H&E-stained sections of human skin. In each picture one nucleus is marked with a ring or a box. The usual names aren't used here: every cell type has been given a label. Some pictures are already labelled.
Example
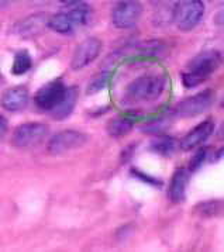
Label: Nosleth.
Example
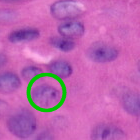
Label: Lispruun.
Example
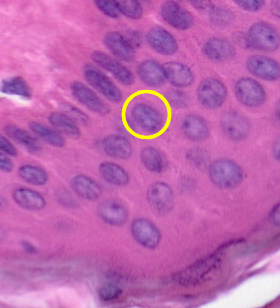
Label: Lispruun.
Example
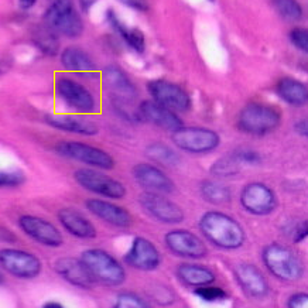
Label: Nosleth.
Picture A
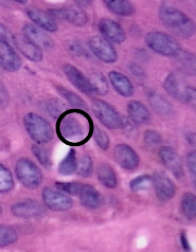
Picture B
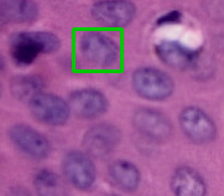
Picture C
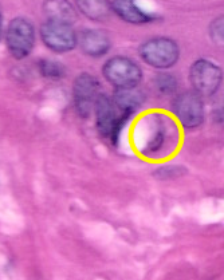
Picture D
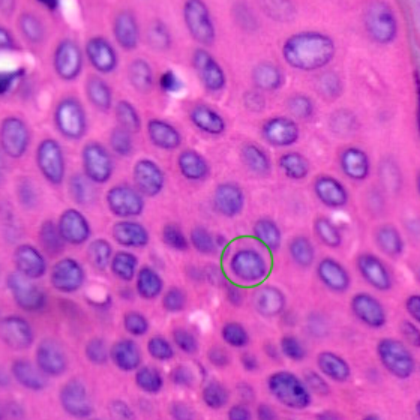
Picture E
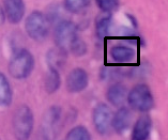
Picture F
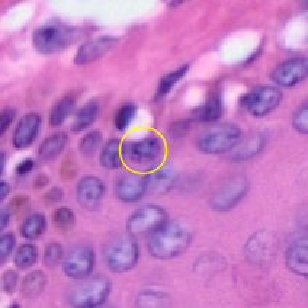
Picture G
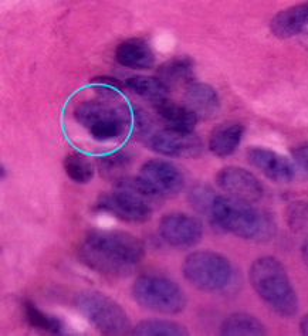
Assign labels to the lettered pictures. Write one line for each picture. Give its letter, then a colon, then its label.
A: Nosleth.
B: Lispruun.
C: Nosleth.
D: Lispruun.
E: Nosleth.
F: Nosleth.
G: Nosleth.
